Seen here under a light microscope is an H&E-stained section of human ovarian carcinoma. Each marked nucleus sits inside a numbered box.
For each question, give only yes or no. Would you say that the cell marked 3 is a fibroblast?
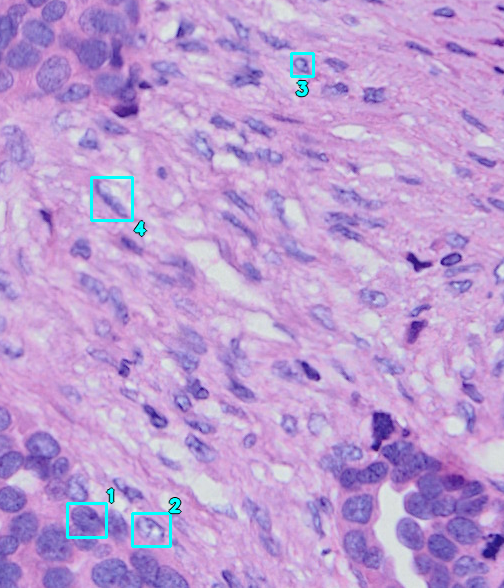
yes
